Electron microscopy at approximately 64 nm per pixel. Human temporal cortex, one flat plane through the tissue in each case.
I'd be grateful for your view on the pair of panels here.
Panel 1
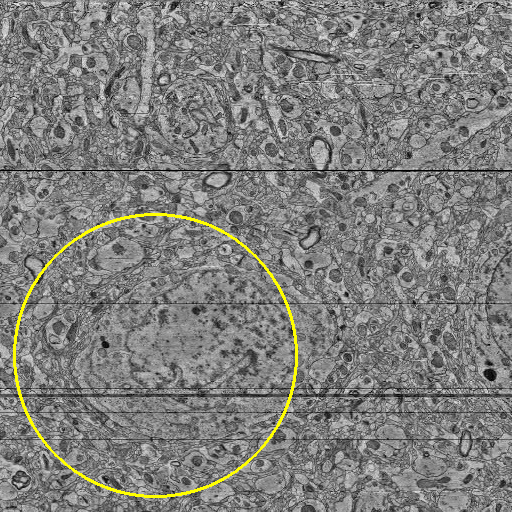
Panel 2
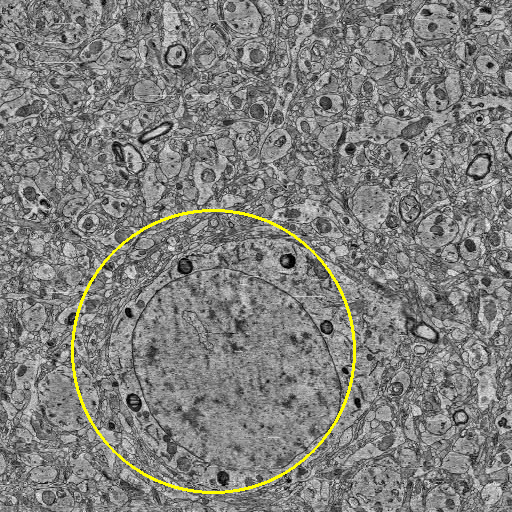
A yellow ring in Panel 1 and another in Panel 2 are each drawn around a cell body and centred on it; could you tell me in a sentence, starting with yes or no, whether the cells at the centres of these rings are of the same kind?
No, they are two kinds of cell.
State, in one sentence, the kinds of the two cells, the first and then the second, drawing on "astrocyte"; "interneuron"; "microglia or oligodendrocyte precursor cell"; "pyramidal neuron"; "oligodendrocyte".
The ring in the second picture is centred on a pyramidal neuron, the ring in the first on an interneuron.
